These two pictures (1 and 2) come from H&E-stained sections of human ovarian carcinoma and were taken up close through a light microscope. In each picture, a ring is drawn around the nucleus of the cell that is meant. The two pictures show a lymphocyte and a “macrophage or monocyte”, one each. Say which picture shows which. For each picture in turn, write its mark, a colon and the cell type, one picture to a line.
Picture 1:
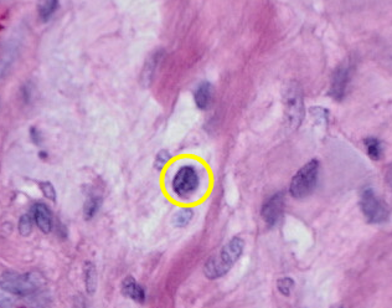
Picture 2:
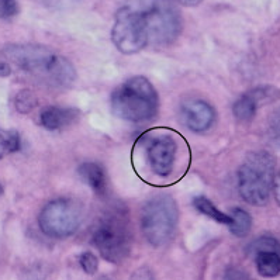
1: lymphocyte
2: macrophage or monocyte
